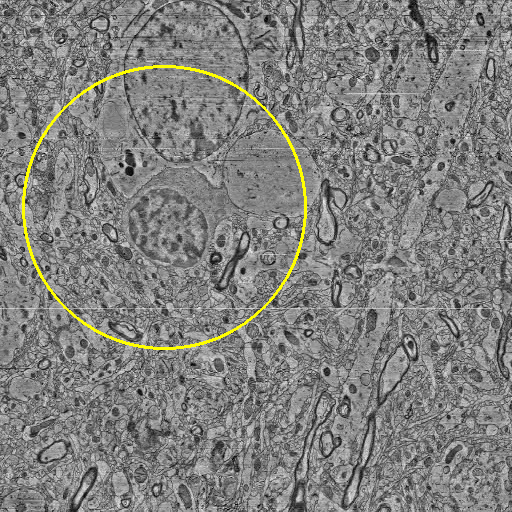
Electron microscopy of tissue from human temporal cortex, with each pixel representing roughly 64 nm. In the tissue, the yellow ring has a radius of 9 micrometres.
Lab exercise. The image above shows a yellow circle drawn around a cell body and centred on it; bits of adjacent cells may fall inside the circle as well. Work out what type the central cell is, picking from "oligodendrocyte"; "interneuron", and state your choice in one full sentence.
In the image above, the cell at the centre of the yellow circle is an oligodendrocyte.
